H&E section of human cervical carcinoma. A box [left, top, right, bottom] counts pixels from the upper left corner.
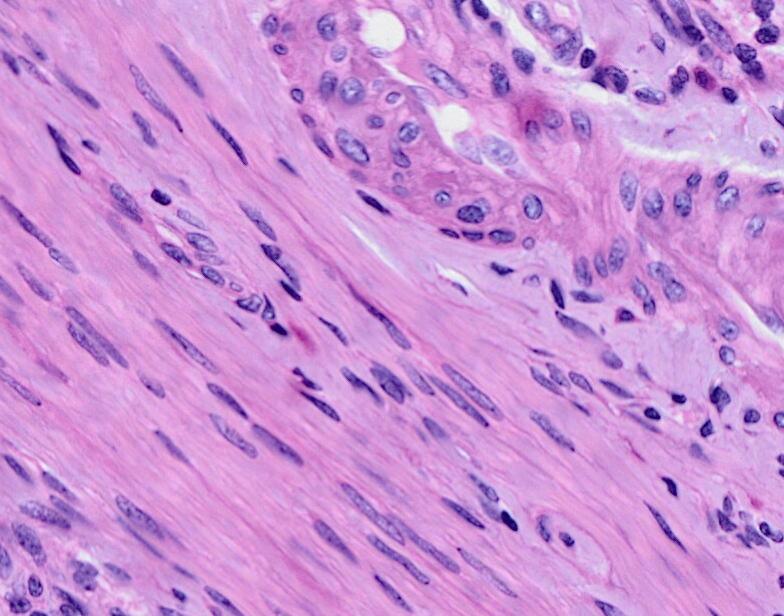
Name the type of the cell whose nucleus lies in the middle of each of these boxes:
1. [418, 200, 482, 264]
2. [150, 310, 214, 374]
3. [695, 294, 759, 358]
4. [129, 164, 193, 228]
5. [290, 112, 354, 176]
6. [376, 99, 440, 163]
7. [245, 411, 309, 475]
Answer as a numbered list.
1. smooth muscle cell
2. fibroblast
3. smooth muscle cell
4. lymphocyte
5. smooth muscle cell
6. smooth muscle cell
7. fibroblast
